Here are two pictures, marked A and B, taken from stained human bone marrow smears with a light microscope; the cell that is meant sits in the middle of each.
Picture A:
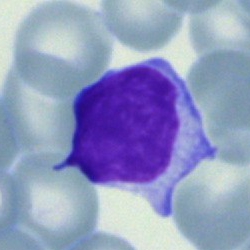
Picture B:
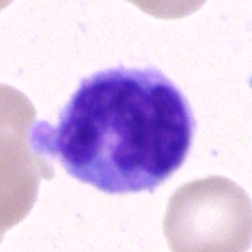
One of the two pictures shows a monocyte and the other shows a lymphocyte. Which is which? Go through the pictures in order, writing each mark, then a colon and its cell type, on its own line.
A: lymphocyte
B: monocyte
